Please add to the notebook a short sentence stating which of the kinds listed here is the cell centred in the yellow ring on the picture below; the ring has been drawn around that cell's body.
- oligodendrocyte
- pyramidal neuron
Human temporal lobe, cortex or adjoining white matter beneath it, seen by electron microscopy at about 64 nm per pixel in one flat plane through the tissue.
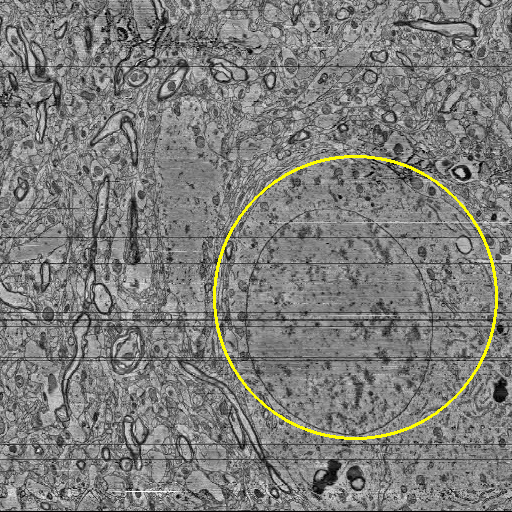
The cell centred in the yellow ring is a pyramidal neuron.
